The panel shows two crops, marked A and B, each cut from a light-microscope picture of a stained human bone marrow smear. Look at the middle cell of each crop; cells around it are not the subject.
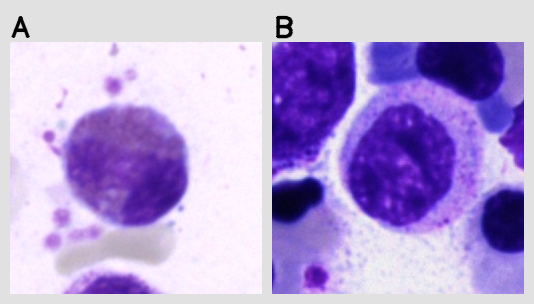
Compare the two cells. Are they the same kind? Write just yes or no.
no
